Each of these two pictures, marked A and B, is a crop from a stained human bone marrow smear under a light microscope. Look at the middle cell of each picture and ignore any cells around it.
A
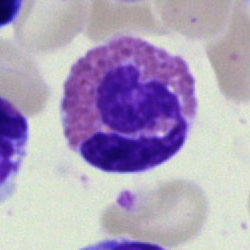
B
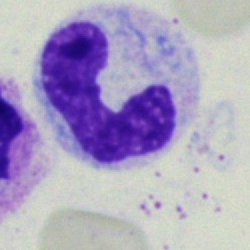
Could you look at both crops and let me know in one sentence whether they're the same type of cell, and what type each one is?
No, it is crop A that shows an eosinophil, and crop B that shows a band neutrophil.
